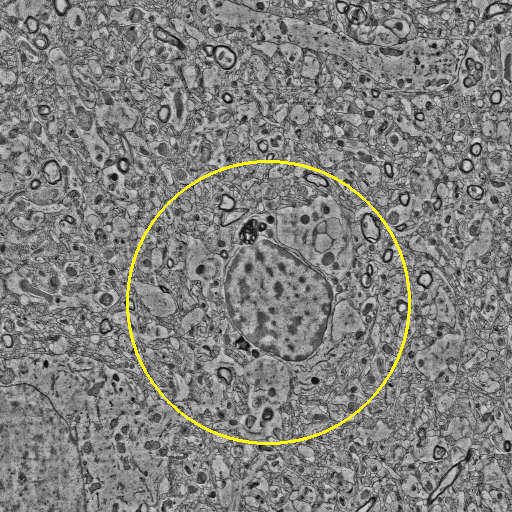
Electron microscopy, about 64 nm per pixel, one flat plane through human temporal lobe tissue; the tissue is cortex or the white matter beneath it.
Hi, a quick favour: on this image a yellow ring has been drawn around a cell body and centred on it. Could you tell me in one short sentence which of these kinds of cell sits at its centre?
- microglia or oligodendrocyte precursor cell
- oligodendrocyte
The ring is centred on a microglial cell or oligodendrocyte precursor cell.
